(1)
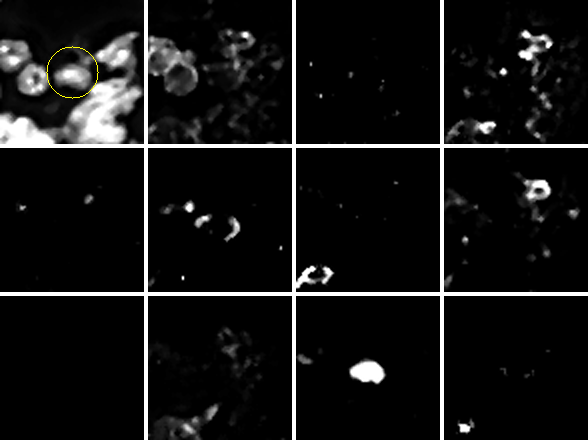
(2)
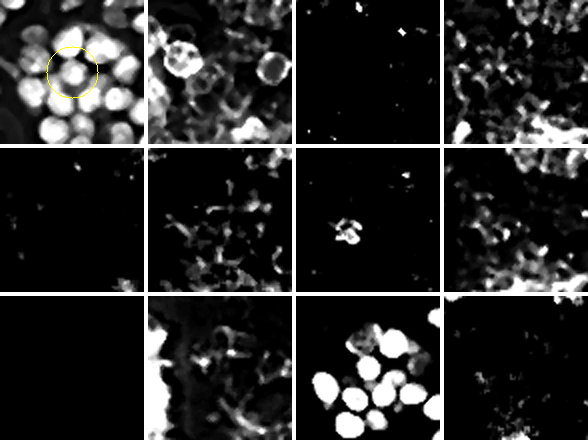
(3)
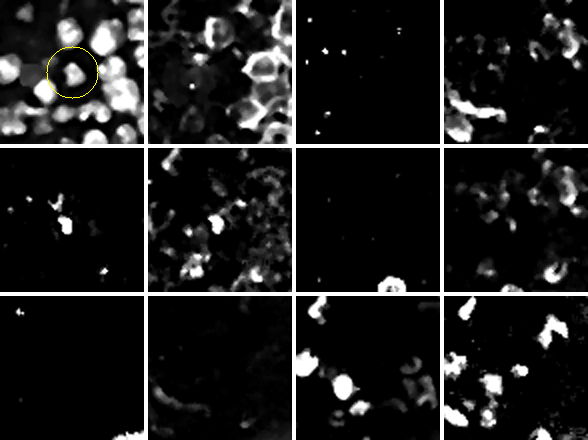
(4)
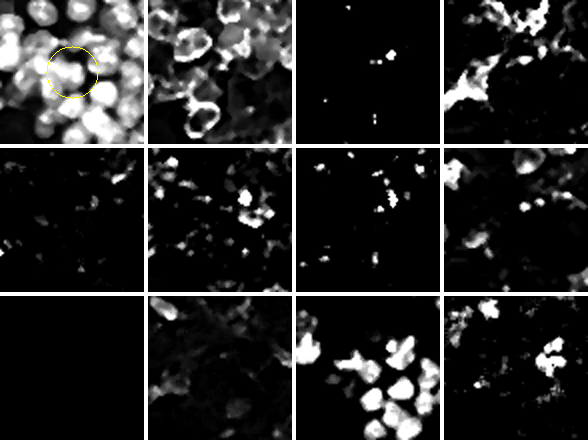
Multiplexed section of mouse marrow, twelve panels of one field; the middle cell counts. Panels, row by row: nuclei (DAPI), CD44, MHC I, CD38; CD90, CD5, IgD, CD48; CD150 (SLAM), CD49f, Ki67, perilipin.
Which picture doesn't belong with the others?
Picture 3.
